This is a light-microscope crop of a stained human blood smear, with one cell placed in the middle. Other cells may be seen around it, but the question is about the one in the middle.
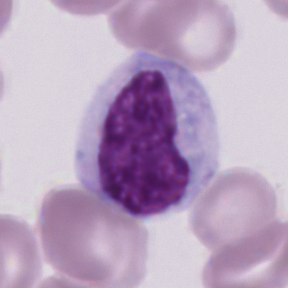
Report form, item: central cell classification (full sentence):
At the center of the crop sits a metamyelocyte.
